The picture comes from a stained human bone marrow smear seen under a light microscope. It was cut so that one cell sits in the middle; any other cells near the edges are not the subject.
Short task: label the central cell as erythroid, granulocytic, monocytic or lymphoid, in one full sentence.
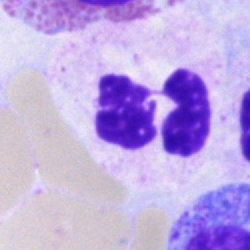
The central cell derives from the granulocytic lineage.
